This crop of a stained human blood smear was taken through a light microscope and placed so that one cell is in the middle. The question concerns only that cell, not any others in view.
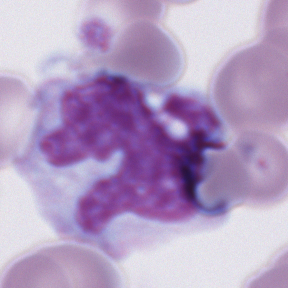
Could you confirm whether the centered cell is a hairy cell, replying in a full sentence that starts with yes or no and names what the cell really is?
No, the central cell is not a hairy cell, being instead a monocyte.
